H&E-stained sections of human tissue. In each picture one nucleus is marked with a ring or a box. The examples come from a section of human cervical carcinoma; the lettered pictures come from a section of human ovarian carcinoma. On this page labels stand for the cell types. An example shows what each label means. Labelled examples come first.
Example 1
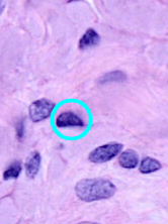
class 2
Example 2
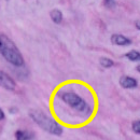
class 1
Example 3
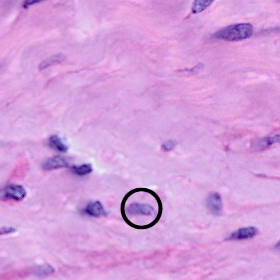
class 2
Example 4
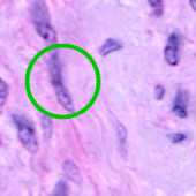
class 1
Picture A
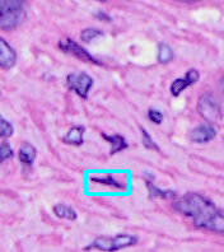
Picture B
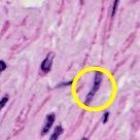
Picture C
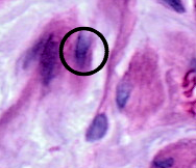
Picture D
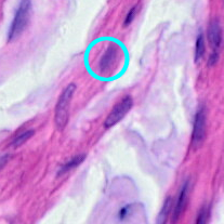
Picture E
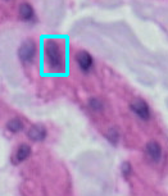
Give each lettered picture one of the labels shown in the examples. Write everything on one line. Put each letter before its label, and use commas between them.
A class 2, B class 2, C class 1, D class 1, E class 1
